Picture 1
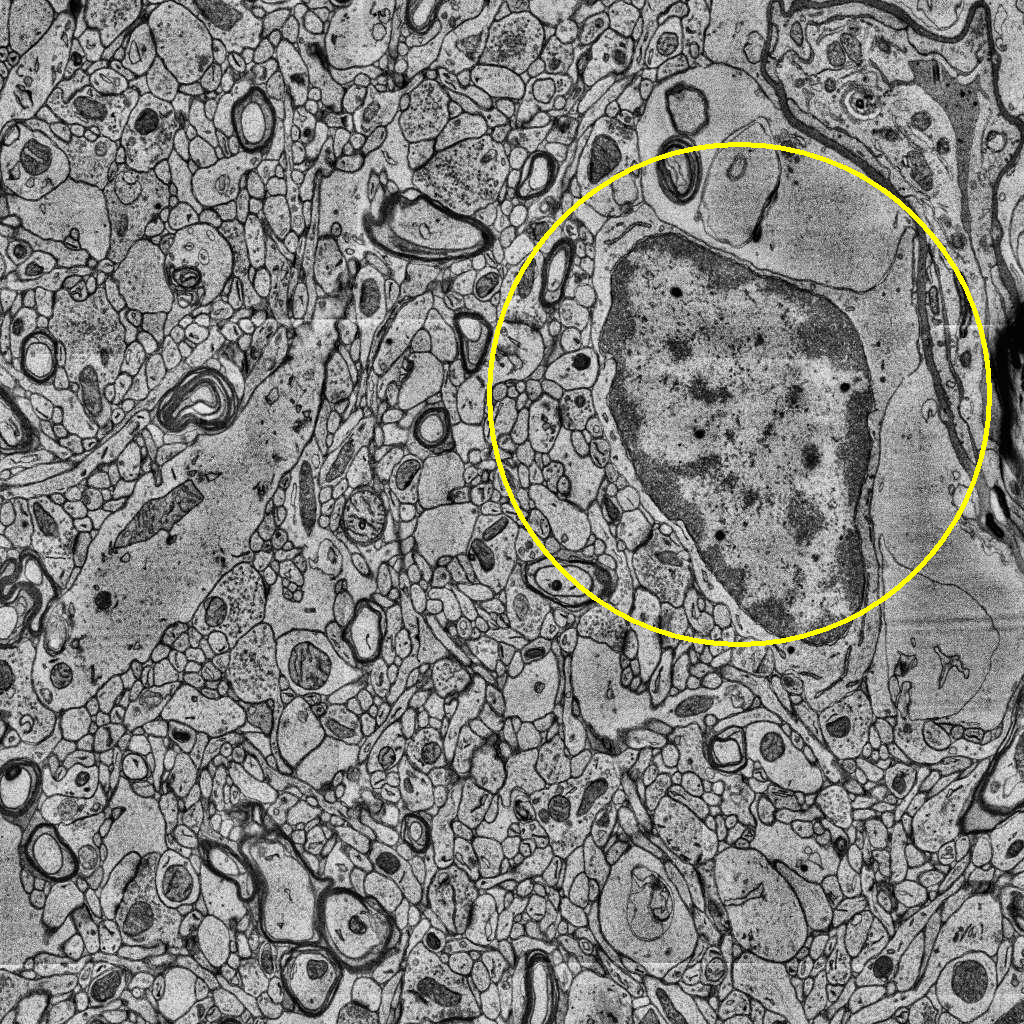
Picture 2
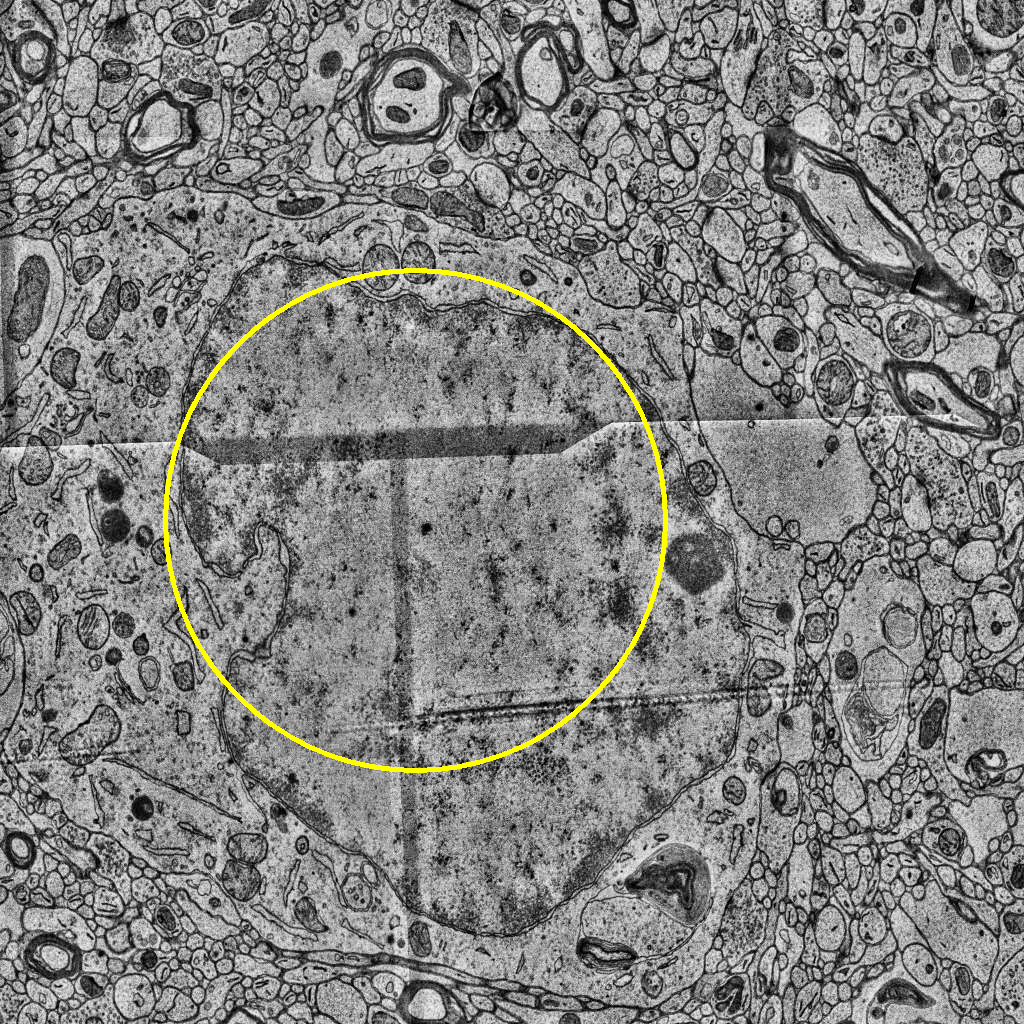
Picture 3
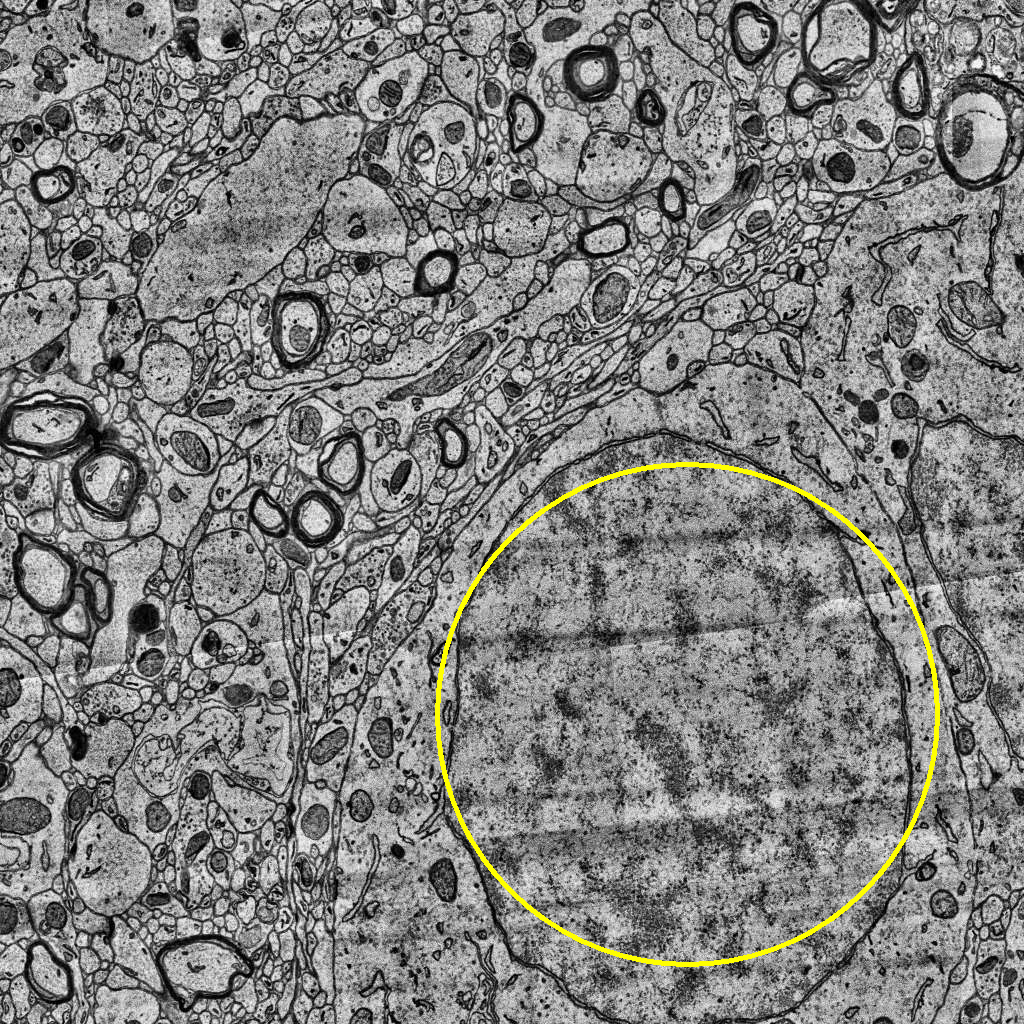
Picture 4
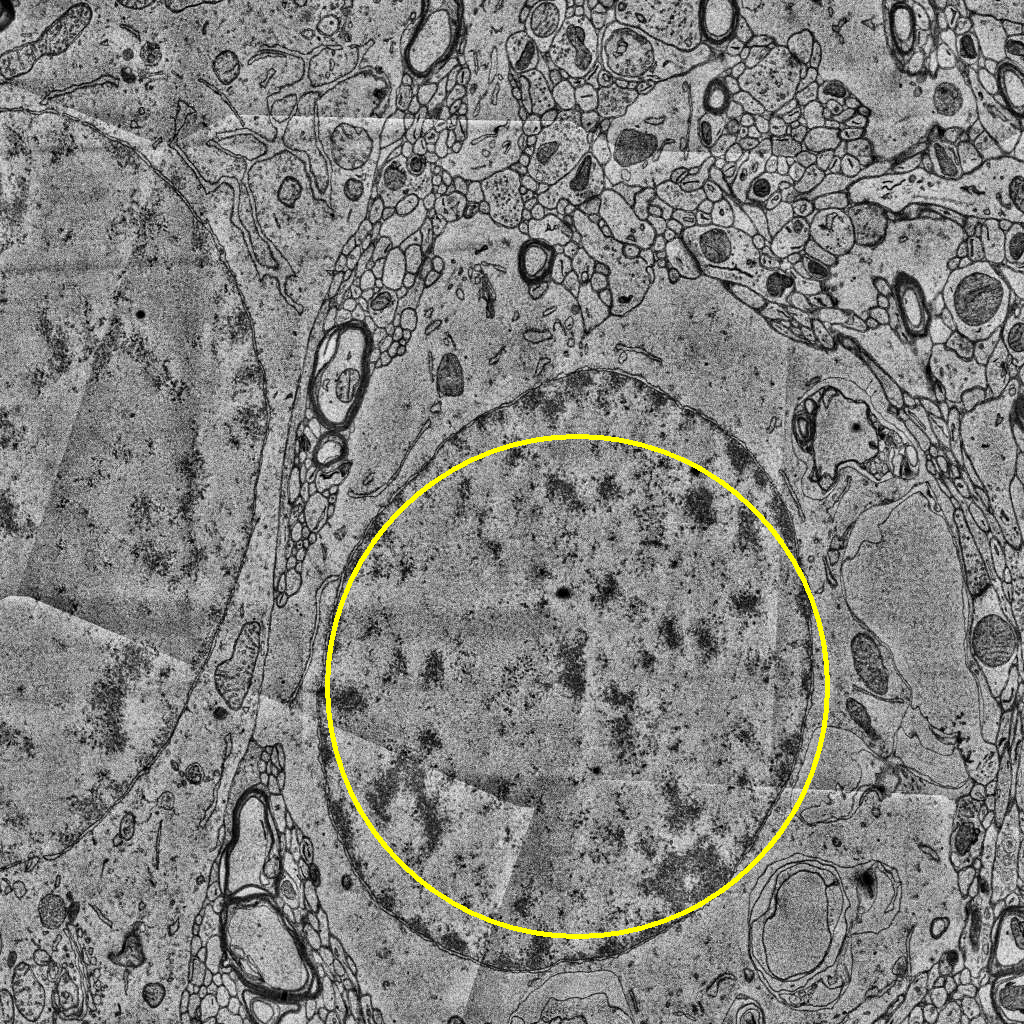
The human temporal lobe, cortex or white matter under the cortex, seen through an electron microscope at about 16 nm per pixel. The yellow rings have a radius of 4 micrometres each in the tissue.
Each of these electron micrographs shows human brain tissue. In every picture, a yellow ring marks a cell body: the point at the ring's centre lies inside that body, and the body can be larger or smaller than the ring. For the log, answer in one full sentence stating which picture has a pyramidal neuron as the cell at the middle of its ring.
In picture 3, the centre of the yellow ring lies inside the requested cell.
